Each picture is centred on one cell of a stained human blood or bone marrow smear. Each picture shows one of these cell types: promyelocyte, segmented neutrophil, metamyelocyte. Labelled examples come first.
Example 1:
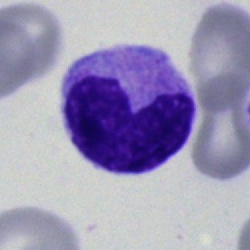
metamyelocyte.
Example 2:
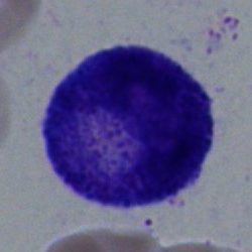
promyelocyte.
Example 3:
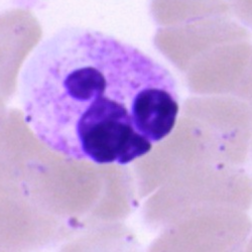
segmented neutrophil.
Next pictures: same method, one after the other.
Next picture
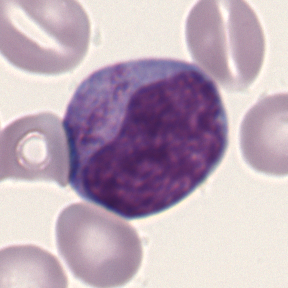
promyelocyte.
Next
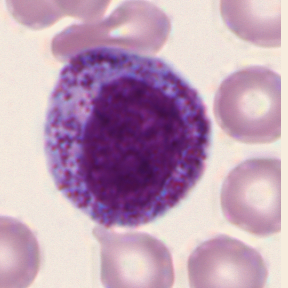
promyelocyte.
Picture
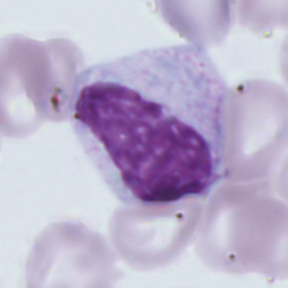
metamyelocyte.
